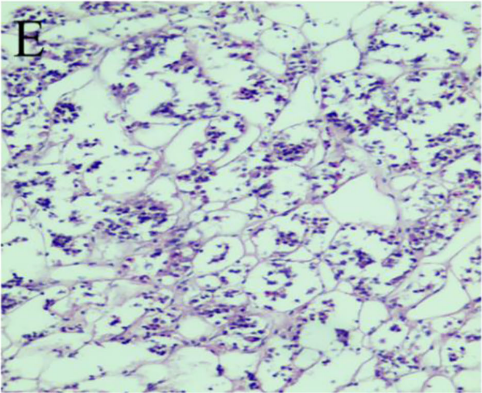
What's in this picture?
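The nuclei are small, round and fairly uniform, stained dark purple. The cytoplasm is pale and largely cleared, so much of the field looks empty. Thin, delicate pink septa outline the nests in a lace-like network.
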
